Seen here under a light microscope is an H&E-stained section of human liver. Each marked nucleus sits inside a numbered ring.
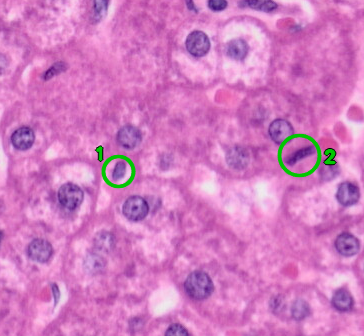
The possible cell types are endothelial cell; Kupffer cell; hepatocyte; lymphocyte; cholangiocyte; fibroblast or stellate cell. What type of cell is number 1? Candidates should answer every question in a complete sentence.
Classified as a lymphocyte is the cell with the number 1.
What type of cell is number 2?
The one numbered 2 among the marked cells is a fibroblast or stellate cell.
